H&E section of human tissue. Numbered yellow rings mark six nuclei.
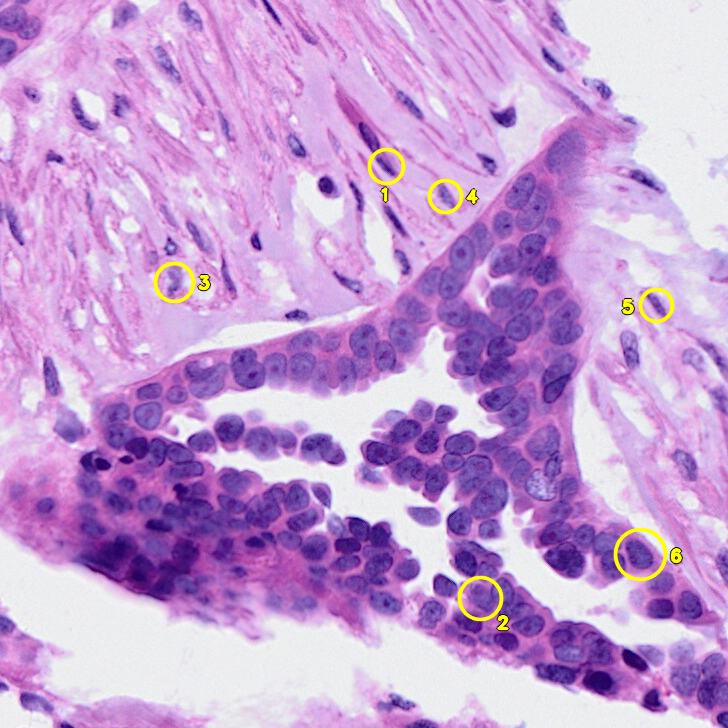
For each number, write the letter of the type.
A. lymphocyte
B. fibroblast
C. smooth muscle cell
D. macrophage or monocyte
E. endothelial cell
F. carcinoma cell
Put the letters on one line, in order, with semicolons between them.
B; F; B; B; B; F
